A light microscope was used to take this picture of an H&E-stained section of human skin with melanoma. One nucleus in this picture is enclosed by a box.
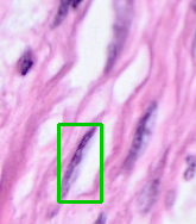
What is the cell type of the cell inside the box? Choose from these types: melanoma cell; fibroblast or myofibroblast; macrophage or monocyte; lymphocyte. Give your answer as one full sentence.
Histopathologically, the cell inside the box is a fibroblast or myofibroblast.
